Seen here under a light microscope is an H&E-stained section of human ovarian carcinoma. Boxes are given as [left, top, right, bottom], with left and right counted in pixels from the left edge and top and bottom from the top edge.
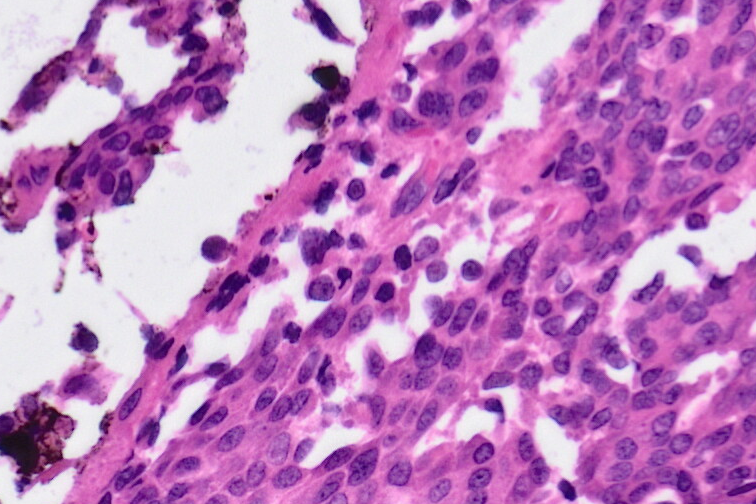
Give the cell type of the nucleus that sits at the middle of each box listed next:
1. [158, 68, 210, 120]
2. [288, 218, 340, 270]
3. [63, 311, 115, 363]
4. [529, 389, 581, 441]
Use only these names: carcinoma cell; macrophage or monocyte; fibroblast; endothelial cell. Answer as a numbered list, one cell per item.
1. carcinoma cell
2. carcinoma cell
3. carcinoma cell
4. macrophage or monocyte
